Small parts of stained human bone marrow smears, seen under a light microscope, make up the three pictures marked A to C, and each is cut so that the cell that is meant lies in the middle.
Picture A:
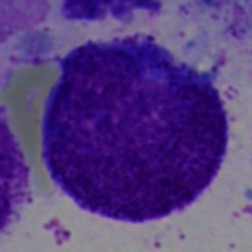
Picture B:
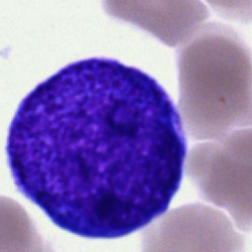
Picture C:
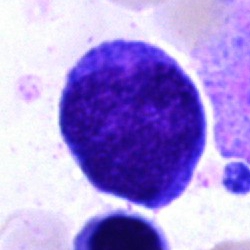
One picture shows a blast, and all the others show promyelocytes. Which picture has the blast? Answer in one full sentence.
It is picture C that shows the blast.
